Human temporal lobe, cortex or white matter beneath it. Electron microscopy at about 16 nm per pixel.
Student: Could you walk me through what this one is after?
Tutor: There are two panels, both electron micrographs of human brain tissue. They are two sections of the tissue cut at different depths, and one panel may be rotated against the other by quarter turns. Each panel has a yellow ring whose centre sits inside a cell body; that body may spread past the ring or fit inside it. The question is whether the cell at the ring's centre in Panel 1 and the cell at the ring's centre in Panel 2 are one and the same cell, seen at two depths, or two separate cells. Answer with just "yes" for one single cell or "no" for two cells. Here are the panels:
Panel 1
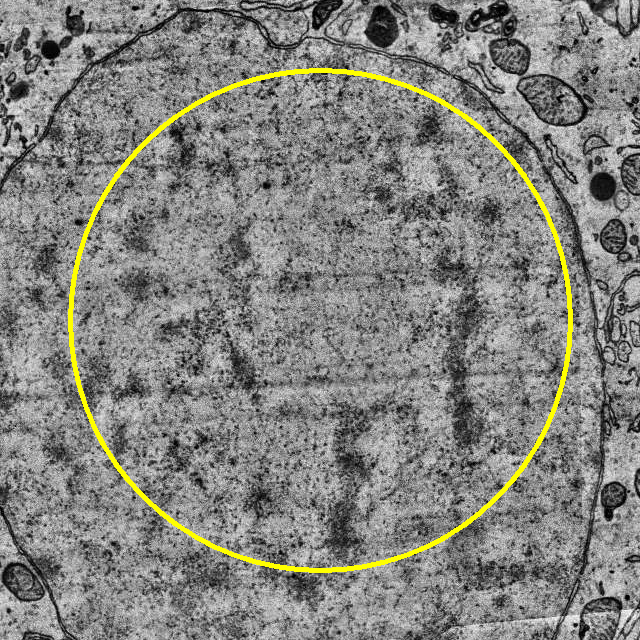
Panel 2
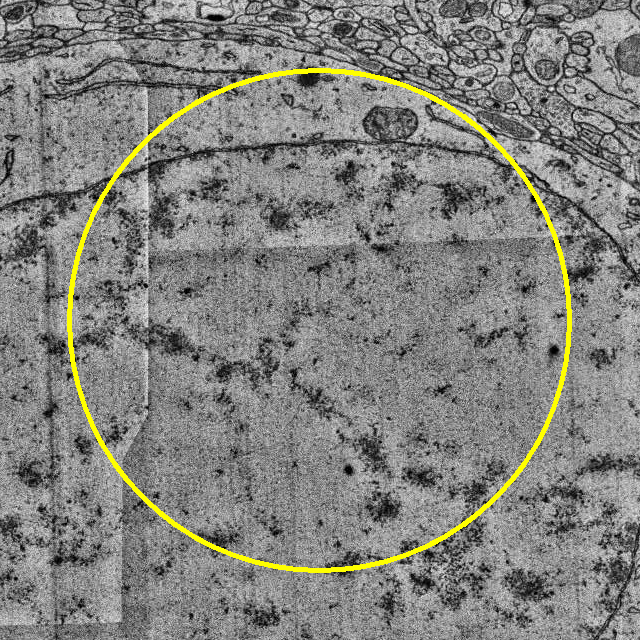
no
